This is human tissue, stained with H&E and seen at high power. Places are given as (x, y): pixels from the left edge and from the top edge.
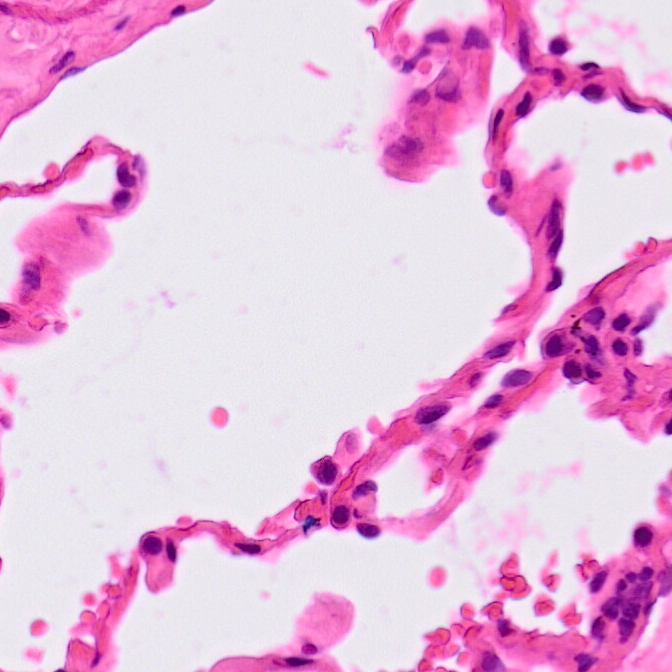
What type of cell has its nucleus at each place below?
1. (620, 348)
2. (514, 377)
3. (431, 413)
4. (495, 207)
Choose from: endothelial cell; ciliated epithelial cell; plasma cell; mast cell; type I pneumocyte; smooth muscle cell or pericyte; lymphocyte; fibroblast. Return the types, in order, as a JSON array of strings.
["mast cell", "type I pneumocyte", "type I pneumocyte", "type I pneumocyte"]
